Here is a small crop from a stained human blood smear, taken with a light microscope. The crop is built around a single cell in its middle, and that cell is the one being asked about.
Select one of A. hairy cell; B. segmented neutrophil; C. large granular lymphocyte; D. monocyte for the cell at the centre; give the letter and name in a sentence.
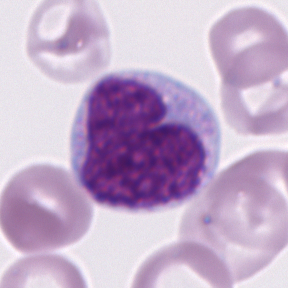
Option D holds up: the cell in the middle is a monocyte.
